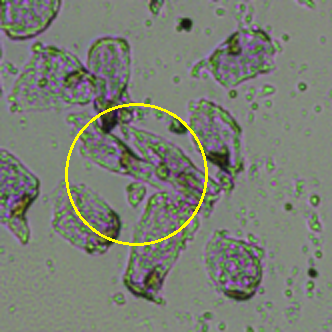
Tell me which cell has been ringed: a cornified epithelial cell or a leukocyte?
It is a cornified epithelial cell.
